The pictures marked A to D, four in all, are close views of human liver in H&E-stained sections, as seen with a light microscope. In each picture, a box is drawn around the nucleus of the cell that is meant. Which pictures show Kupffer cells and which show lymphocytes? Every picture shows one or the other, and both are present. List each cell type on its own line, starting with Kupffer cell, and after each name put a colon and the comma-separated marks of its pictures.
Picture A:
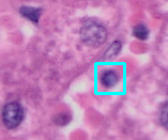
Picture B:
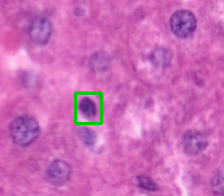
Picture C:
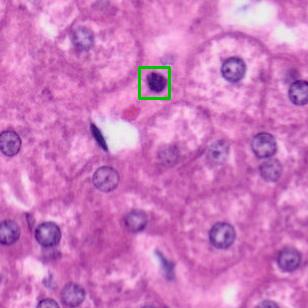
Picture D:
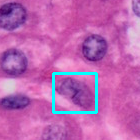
Kupffer cell: D
lymphocyte: A, B, C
